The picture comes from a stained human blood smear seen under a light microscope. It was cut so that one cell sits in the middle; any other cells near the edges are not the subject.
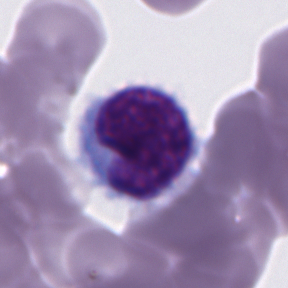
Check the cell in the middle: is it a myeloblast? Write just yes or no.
no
